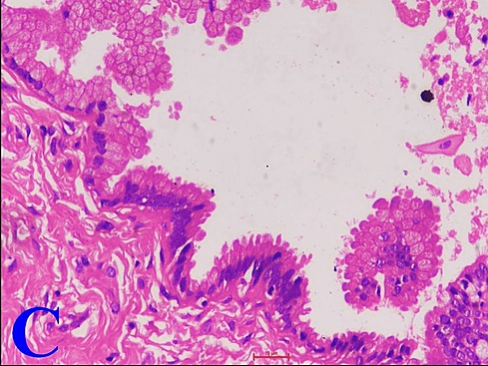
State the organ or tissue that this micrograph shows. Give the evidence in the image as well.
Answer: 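Mucin-containing columnar epithelium. Tall cells with pale, bubbly cytoplasm line the space. Nuclei sit at the base of these cells. The epithelium lies on fibrous stroma.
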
